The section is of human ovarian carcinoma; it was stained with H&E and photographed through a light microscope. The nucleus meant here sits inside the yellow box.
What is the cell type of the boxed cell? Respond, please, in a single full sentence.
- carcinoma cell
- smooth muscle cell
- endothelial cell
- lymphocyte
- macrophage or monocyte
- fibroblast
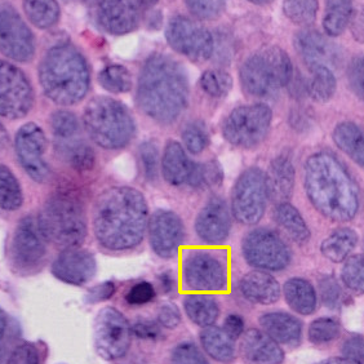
So far as cell type goes, the boxed cell is a carcinoma cell.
